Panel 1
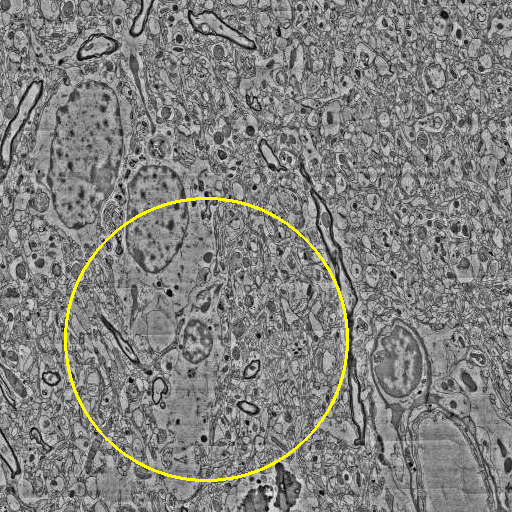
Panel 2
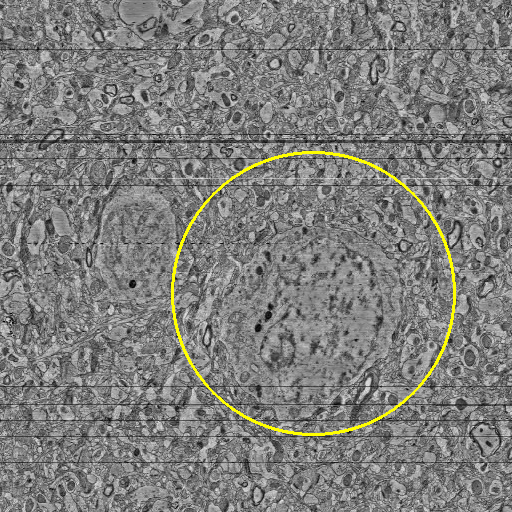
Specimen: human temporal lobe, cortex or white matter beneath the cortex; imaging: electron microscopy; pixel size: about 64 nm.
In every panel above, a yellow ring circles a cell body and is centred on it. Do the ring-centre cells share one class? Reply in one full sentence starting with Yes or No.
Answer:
No, the two cells at the ring centres in the panels belong to two classes.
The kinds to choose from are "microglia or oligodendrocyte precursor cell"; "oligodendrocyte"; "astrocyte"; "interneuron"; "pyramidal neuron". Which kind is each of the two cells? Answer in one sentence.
Of the two, the first cell is an astrocyte and the second cell is an interneuron.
